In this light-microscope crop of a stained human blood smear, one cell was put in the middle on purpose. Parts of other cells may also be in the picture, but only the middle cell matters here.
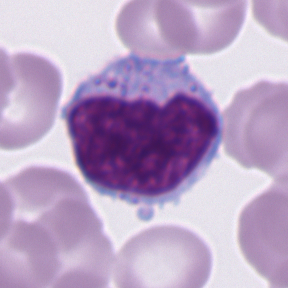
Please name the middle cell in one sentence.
This crop is built around a lymphocyte at its centre.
